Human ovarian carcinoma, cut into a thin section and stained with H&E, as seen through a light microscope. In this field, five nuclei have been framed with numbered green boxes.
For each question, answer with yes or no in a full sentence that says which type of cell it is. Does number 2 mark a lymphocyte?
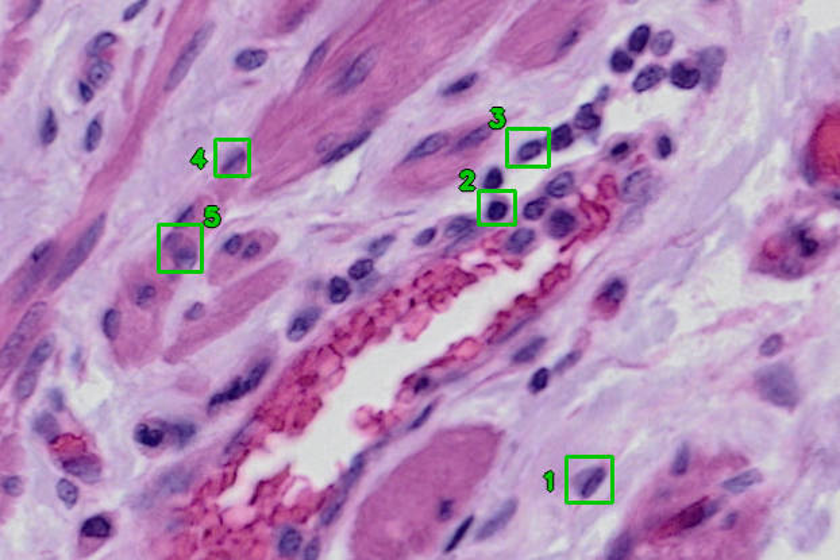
Yes, the one numbered 2 is a lymphocyte.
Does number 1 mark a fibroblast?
Yes, on this slide, the cell with number 1 is a fibroblast.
